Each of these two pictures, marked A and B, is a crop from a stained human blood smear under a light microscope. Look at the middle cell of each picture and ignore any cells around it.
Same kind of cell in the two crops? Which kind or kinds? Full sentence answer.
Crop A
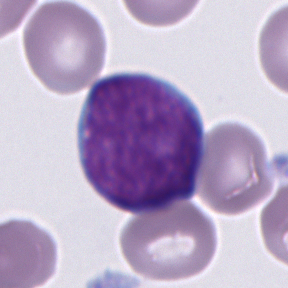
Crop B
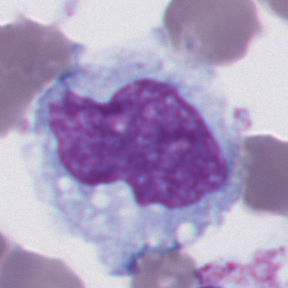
No, look again: crop A shows a myeloblast, and crop B shows a monocyte.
